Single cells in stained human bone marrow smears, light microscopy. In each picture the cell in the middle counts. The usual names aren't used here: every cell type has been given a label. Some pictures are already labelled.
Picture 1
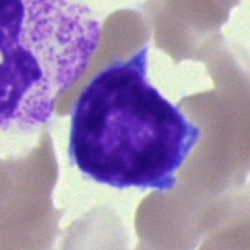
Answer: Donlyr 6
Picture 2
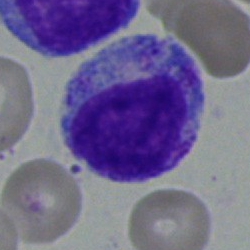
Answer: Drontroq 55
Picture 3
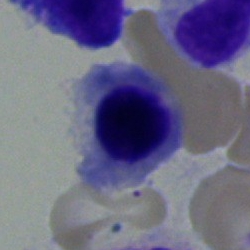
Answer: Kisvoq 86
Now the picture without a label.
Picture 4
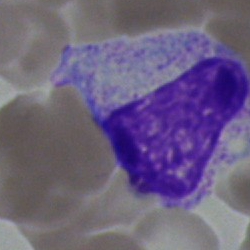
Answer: Drontroq 55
